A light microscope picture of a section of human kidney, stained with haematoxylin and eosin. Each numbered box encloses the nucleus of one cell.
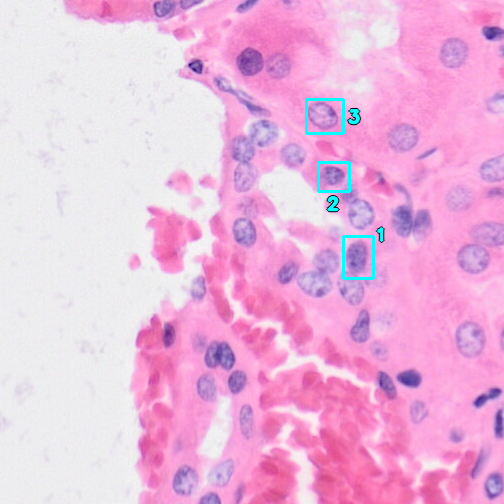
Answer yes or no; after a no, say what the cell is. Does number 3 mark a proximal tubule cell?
Yes.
